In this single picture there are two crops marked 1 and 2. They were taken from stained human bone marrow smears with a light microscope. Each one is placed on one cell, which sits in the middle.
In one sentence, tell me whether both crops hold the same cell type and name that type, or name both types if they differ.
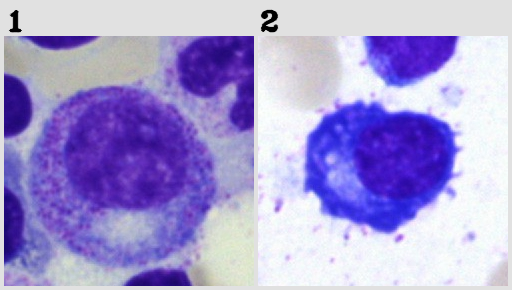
No, a plasma cell is the cell of crop 2, while a promyelocyte is the cell of crop 1.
